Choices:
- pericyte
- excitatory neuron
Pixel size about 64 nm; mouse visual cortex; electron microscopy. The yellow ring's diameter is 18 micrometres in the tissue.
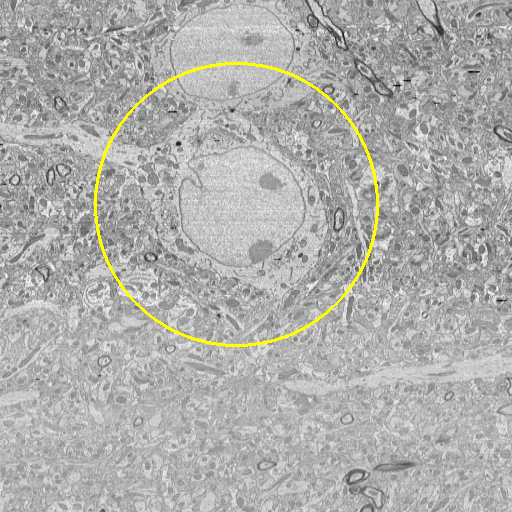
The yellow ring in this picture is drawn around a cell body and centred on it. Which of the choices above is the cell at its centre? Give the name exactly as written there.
excitatory neuron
